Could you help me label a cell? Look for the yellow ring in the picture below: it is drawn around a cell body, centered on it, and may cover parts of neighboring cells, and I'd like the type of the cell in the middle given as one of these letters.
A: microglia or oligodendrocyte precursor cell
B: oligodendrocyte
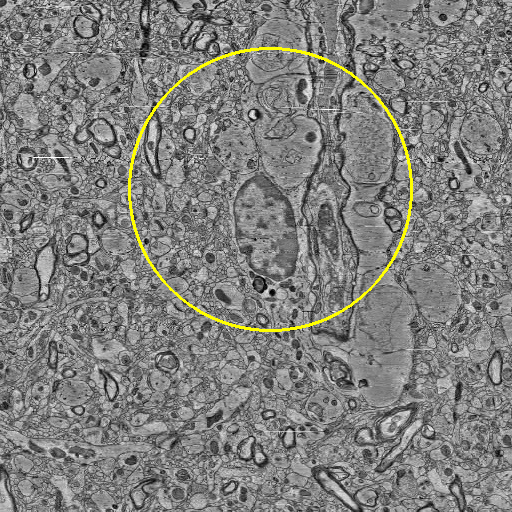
A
